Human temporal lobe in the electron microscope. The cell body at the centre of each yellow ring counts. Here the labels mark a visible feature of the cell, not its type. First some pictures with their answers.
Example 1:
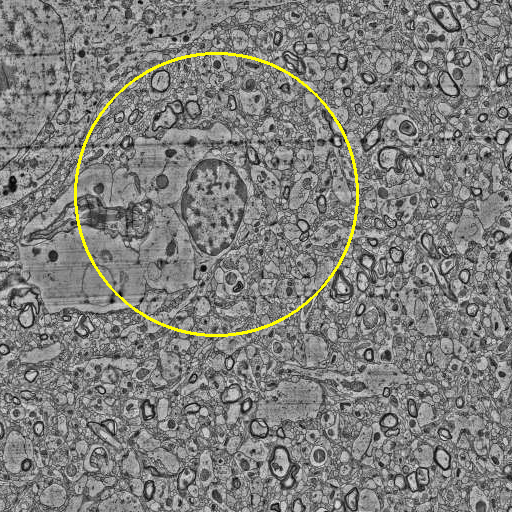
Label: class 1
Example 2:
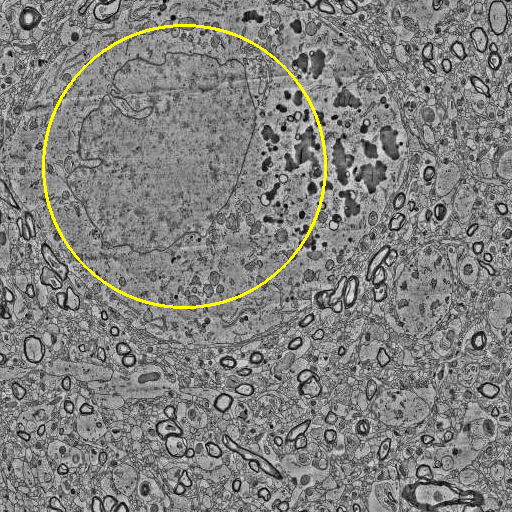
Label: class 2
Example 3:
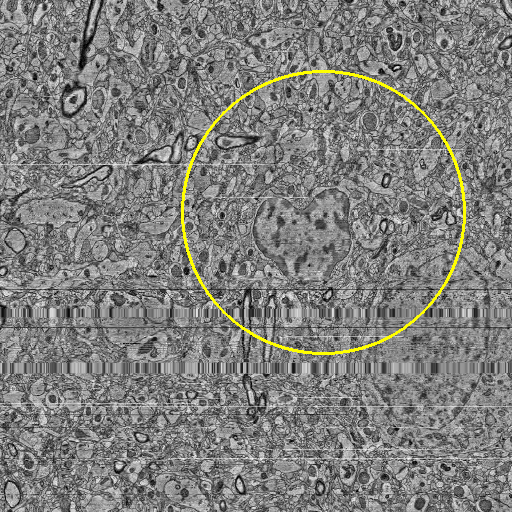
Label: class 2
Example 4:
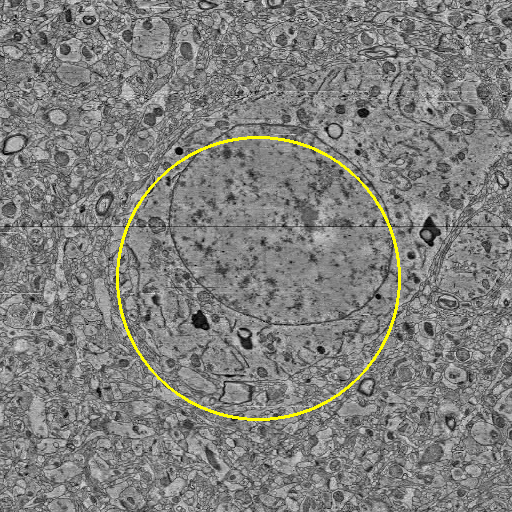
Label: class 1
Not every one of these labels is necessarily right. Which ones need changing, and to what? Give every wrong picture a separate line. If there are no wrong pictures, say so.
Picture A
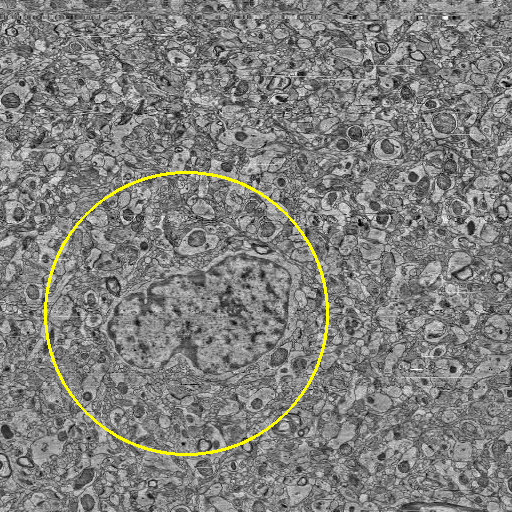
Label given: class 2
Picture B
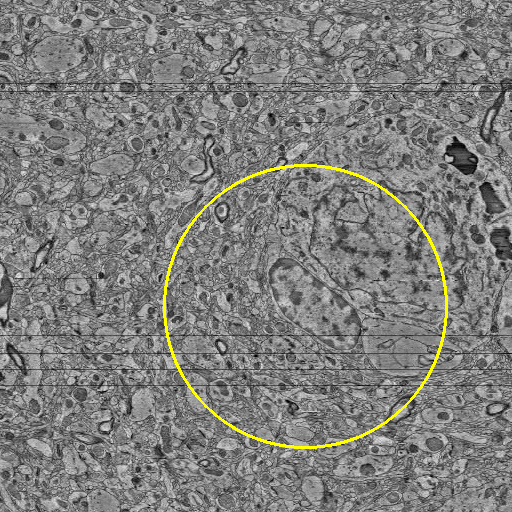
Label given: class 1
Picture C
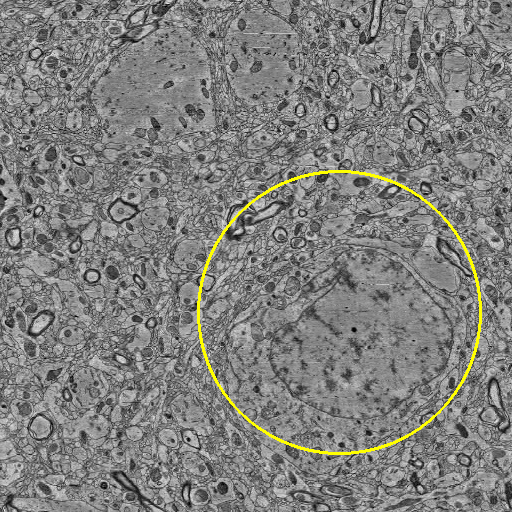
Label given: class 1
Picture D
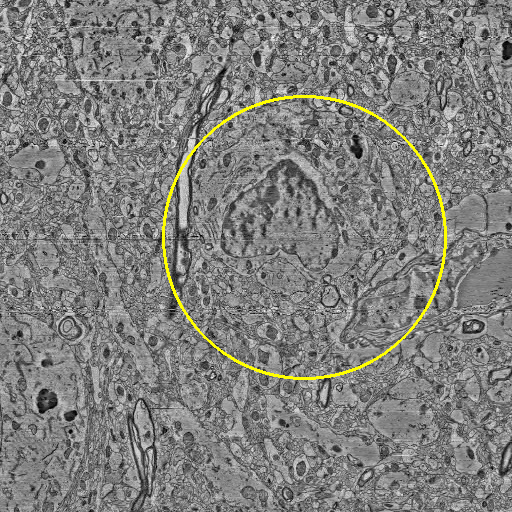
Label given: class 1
D is labelled class 1; correct label: class 2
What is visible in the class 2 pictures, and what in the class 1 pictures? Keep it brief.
class 2, deeply folded or indented nuclear envelopes; class 1, smooth nuclear envelopes without deep folds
